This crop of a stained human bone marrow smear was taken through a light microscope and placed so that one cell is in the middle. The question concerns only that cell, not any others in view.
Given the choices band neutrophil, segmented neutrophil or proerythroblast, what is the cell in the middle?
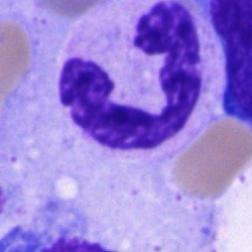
segmented neutrophil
